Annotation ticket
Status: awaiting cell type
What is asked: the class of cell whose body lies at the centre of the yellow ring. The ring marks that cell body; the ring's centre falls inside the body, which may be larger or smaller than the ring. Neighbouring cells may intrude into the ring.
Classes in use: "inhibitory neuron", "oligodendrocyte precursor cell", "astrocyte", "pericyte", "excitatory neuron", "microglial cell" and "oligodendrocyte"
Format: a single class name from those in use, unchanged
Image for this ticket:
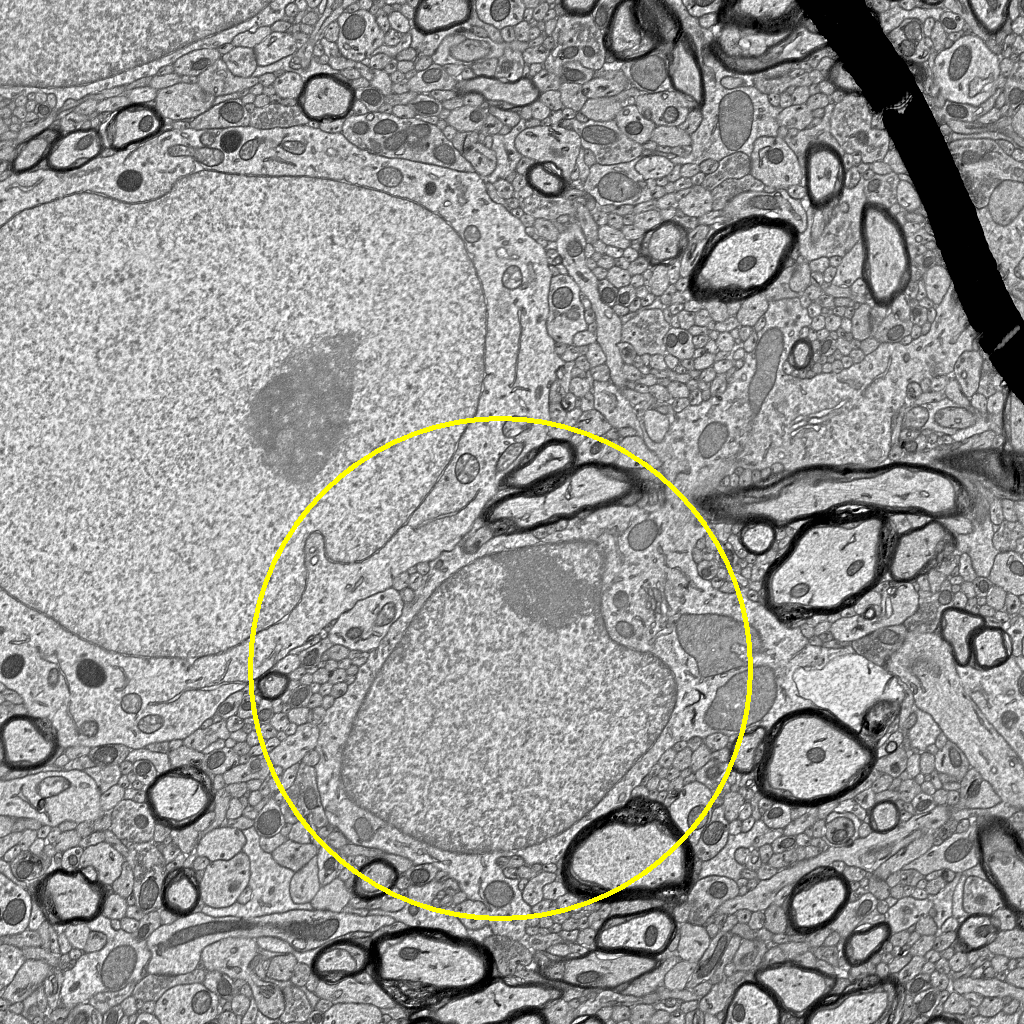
astrocyte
